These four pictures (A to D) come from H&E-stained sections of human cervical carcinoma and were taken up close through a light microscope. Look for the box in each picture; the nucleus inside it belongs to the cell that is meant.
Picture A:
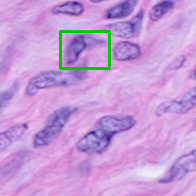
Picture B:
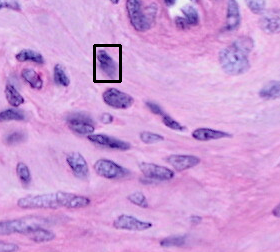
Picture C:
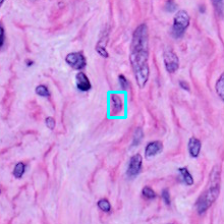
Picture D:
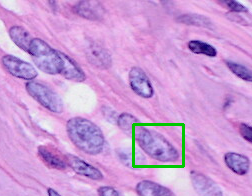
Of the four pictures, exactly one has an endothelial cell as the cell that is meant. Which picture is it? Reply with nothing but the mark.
D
